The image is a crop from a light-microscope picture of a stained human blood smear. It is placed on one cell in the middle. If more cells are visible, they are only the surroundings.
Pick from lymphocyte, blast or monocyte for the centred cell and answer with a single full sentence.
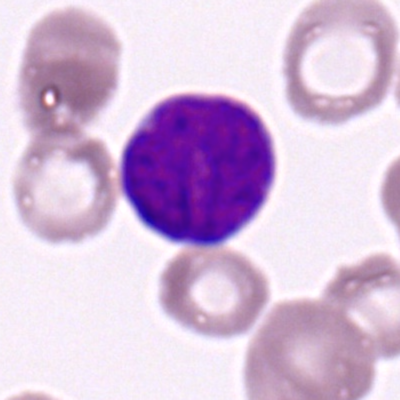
In the middle of this smear crop, the cell is a blast.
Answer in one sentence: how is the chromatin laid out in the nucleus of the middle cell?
The nucleus shows chromatin that is coarsely clumped.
